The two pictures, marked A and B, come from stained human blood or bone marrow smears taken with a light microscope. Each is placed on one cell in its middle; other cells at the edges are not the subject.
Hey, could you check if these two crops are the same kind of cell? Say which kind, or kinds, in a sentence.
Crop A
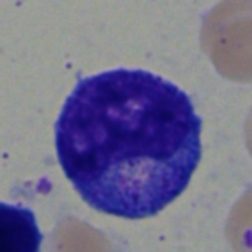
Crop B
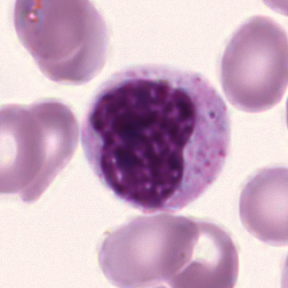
No: a myelocyte sits in crop A, and a metamyelocyte sits in crop B.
